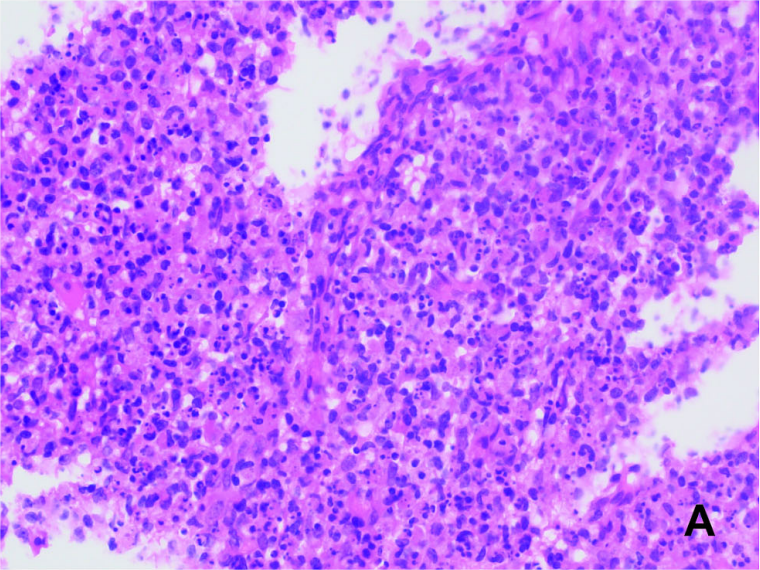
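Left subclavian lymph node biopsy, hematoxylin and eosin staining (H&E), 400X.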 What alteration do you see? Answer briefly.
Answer: Nuclear debris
